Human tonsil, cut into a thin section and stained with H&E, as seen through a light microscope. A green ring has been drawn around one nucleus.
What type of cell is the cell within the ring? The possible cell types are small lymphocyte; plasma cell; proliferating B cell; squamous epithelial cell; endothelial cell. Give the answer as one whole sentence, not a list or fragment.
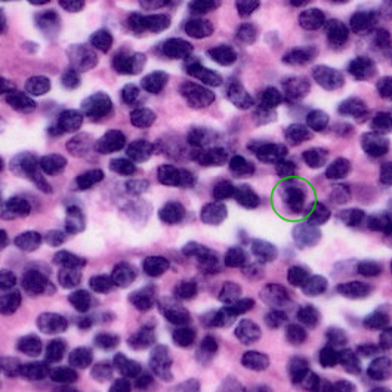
In this section of tissue, the cell within the ring is a small lymphocyte.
